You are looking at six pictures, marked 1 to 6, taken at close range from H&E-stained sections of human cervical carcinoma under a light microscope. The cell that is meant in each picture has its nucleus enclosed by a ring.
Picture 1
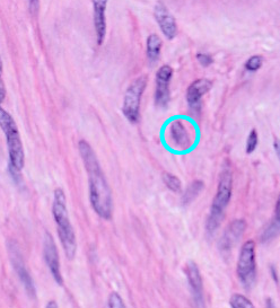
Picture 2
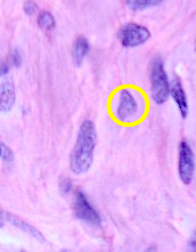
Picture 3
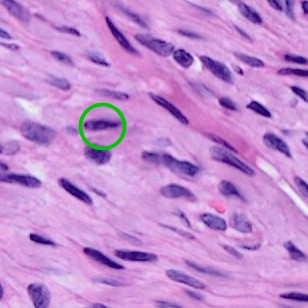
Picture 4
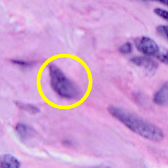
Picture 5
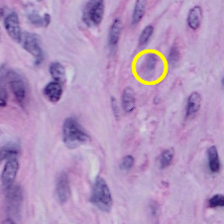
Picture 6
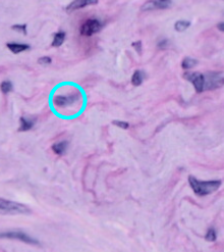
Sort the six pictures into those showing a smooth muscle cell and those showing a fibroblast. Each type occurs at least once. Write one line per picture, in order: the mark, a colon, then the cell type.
1: smooth muscle cell
2: fibroblast
3: fibroblast
4: fibroblast
5: smooth muscle cell
6: smooth muscle cell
